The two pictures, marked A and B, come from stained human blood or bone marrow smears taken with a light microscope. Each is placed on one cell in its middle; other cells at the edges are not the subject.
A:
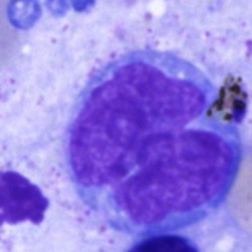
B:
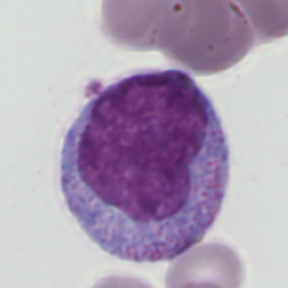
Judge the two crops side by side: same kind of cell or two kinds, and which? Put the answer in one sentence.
No, the middle of crop A shows a monocyte, and the middle of crop B shows a promyelocyte.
